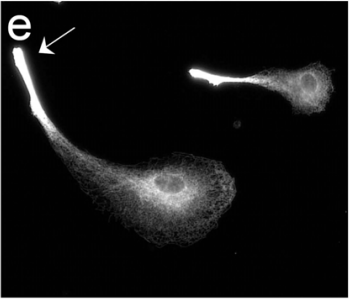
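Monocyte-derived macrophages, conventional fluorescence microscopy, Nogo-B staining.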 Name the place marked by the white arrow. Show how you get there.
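The arrow points to the tip of a long, narrow tail extending from the cell body. The tail is much brighter than the rest of the cell. The broad cell body lies at the opposite end from the tail. That points to this answer: trailing end.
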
